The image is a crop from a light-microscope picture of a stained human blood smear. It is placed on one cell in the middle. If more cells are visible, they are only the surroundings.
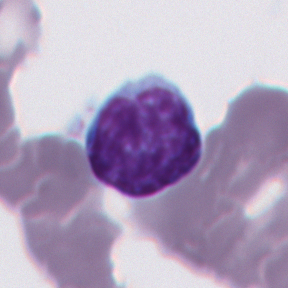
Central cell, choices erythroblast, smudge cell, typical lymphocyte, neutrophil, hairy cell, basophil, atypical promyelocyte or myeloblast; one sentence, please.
The centrally located cell in the crop is a typical lymphocyte.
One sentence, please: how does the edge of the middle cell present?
A smooth, projection-free outline is what this cell has.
